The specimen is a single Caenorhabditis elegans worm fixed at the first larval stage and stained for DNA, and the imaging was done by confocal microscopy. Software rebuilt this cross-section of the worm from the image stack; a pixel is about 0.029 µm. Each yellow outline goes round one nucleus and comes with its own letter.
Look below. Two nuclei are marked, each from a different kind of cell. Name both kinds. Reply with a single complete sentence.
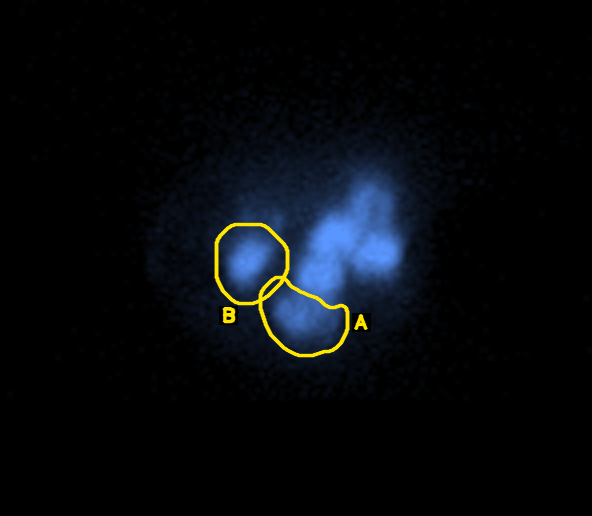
The nucleus A is that of a P cell (ventral epidermal blast cell), while B is that of a valve cell of the gut.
